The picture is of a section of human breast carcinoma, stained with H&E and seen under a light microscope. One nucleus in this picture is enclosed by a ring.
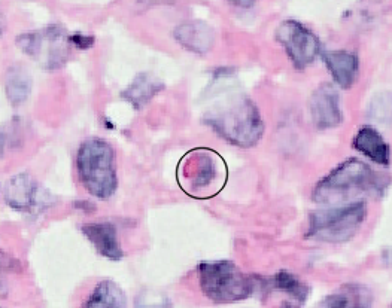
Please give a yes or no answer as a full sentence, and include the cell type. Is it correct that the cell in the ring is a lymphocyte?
No, the cell in the ring is scored as an endothelial cell and not as a lymphocyte.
